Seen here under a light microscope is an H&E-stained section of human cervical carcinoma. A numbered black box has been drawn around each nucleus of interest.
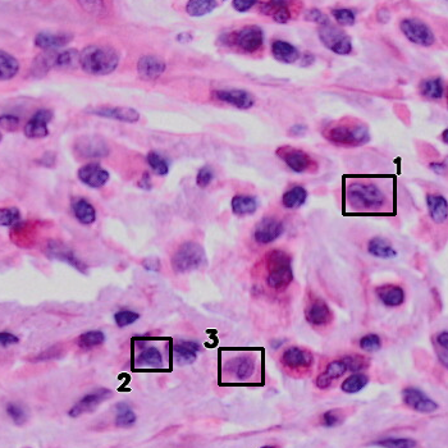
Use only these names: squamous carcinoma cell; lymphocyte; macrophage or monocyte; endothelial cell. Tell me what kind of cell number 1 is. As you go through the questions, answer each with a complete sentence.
The correct answer for cell 1 is a macrophage or monocyte.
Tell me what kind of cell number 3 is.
The cell that carries the label 3 is a macrophage or monocyte.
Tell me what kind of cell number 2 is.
Looking at the numbered marks, cell 2 is a lymphocyte.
